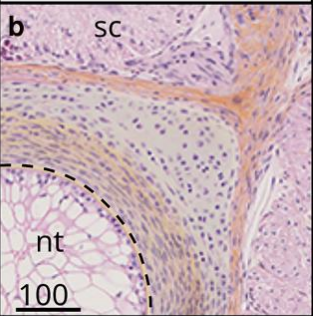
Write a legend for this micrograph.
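This is the developing vertebral region beside the notochord and below the spinal cord. At lower left the notochord shows large, empty-looking vacuolated cells bounded by a fine pink network, set off by a dashed line. Around it lie concentric layers of flattened cells and orange-pink fibrous bands. At the top, the spinal cord appears as loosely arranged cells with small nuclei in pale pink tissue.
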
